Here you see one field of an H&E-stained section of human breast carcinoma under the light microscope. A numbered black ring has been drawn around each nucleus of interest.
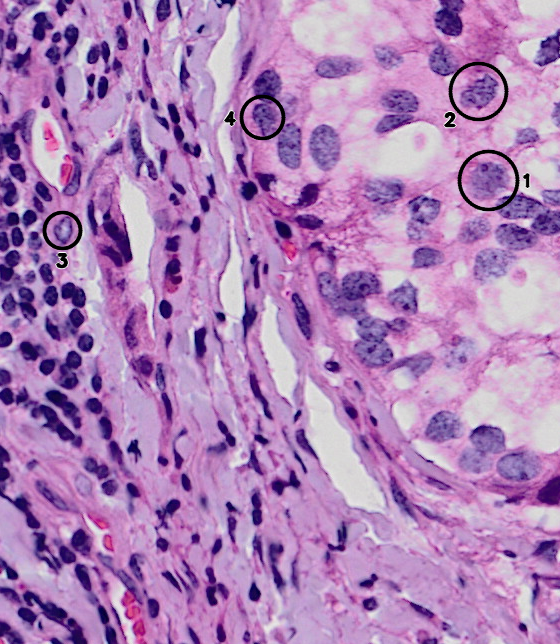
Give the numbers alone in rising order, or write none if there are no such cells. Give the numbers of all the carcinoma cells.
1, 2, 4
